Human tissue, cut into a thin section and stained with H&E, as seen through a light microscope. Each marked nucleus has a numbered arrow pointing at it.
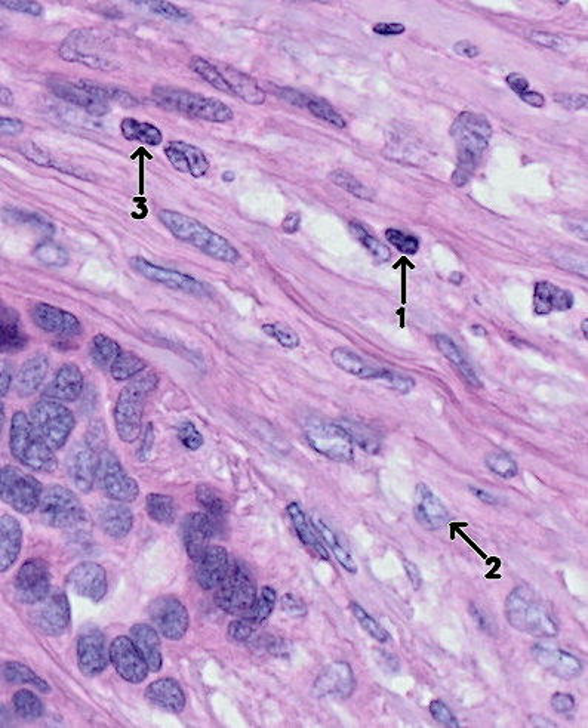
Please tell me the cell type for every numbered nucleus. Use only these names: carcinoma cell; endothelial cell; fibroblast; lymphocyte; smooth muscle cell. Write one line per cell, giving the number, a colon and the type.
1: lymphocyte
2: fibroblast
3: lymphocyte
